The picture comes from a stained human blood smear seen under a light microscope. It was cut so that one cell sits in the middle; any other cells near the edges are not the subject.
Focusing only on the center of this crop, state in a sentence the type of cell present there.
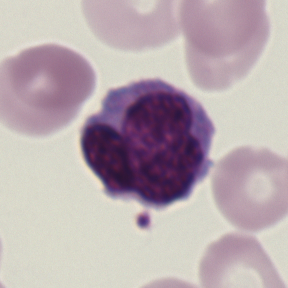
The cell of interest, located centrally, is a monocyte.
